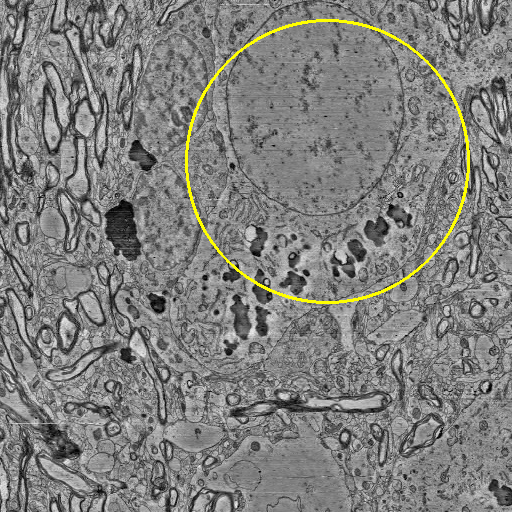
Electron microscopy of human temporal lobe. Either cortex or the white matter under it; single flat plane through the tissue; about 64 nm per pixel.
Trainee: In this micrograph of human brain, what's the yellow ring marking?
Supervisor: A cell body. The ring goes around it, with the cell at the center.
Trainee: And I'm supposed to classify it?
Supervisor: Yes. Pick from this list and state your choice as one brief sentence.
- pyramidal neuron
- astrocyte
The cell at the ring's center is a pyramidal neuron.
